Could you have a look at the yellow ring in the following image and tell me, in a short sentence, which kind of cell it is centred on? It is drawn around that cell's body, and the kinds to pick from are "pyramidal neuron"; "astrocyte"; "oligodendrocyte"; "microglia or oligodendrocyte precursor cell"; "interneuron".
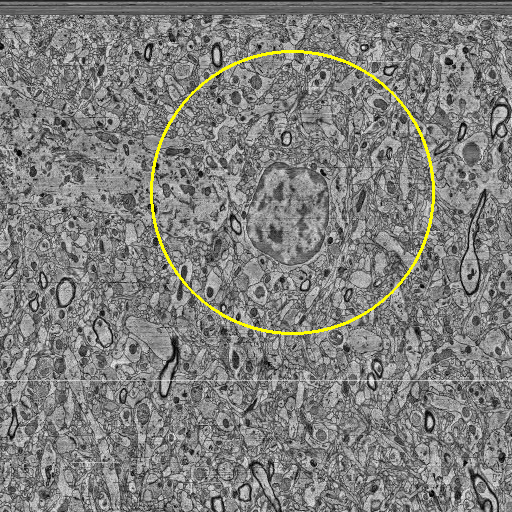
The ring is centred on the body of a microglial cell or oligodendrocyte precursor cell.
